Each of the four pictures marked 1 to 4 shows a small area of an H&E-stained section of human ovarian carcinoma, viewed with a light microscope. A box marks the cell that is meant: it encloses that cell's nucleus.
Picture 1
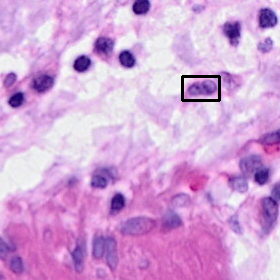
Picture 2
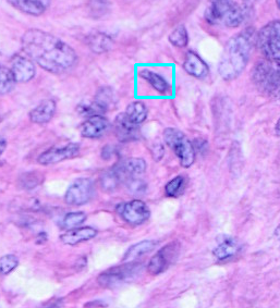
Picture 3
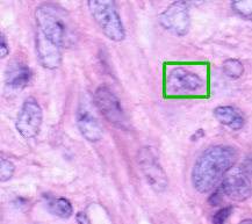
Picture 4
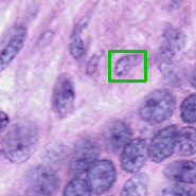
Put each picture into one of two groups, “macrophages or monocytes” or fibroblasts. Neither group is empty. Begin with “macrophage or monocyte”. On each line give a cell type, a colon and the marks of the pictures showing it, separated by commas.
macrophage or monocyte: 1
fibroblast: 2, 3, 4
